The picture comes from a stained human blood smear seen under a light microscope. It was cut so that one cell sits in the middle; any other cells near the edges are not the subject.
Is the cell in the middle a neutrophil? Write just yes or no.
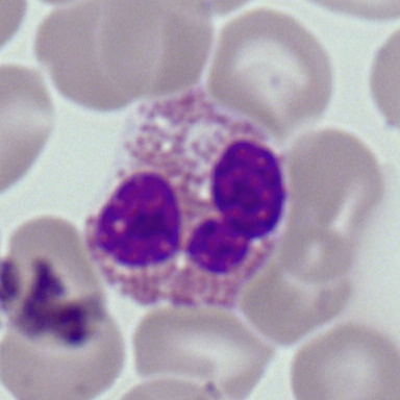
no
